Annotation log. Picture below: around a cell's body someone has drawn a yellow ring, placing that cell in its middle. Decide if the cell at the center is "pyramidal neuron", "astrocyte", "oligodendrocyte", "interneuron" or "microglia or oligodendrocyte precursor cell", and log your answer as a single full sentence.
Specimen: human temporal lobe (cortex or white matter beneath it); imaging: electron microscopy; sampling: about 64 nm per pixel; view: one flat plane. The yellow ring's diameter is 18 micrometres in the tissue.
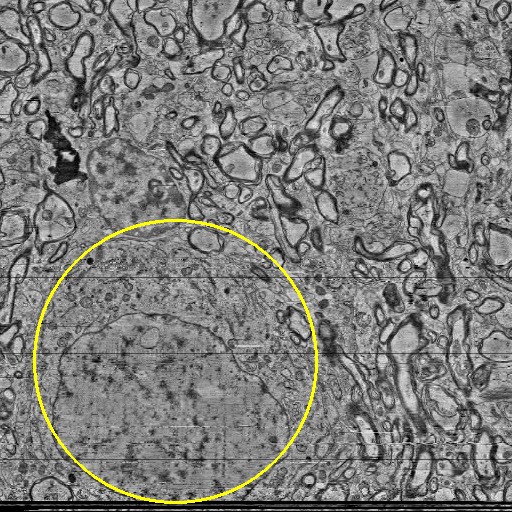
My entry records a pyramidal neuron as the cell sitting at the center of the yellow ring.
